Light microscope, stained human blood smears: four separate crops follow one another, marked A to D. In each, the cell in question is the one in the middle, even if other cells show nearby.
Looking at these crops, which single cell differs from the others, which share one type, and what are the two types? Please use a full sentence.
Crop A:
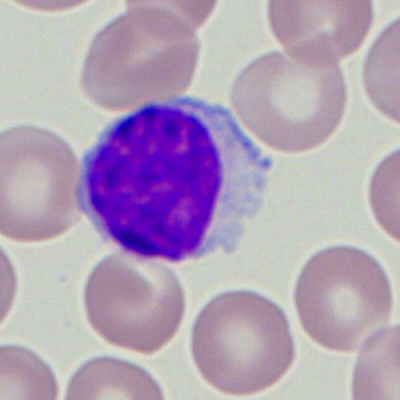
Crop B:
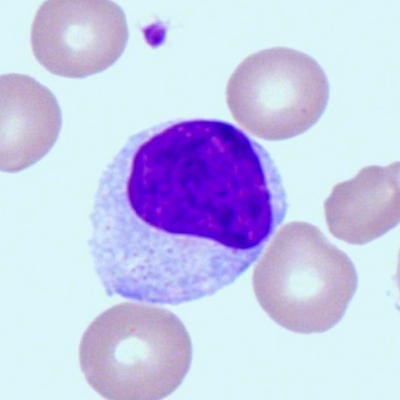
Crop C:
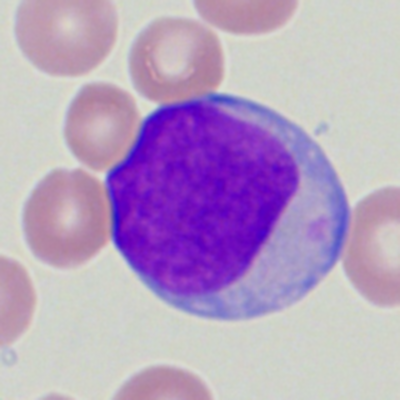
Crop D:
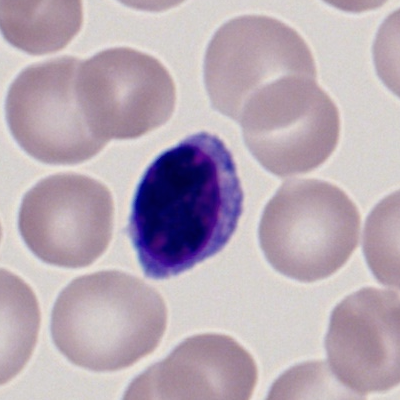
Of the crops, all show lymphocytes save crop C, which shows a myeloblast.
